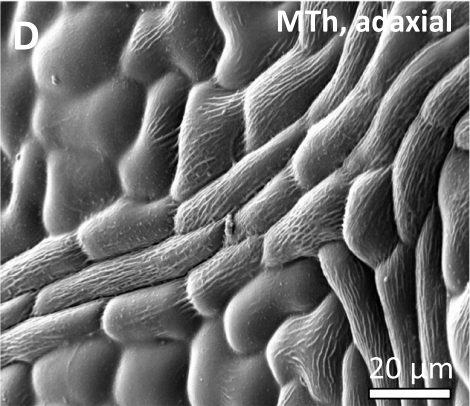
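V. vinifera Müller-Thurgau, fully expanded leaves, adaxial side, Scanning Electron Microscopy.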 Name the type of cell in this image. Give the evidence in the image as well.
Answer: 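A diagonal band of long narrow cells carries fine parallel ridges. Rounder cells beside the band have smooth surfaces. So: epidermal cells covering leaf veins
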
